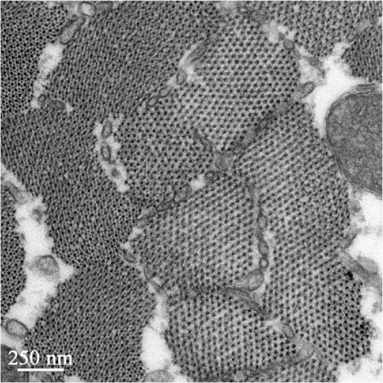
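In this cross-section of skeletal muscle, the field is filled with large polygonal bundles cut across, each packed with a very regular lattice of small dark dots arranged in a honeycomb-like pattern. The bundles are separated by narrow pale clefts that hold small membranous profiles and vesicles. A rounded organelle with internal membranes sits at the right edge. Some bundles appear denser and darker, with a tighter lattice, while others look more open and lighter.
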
